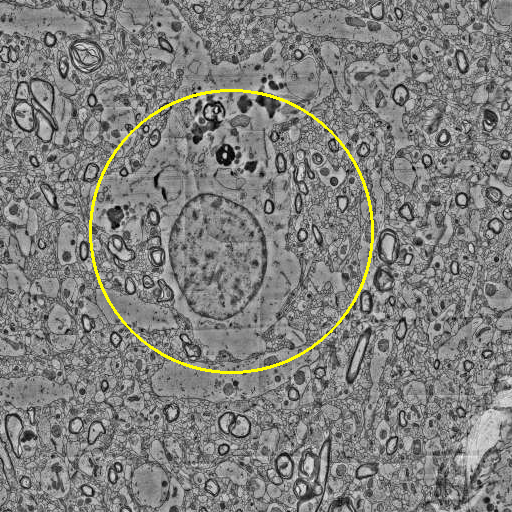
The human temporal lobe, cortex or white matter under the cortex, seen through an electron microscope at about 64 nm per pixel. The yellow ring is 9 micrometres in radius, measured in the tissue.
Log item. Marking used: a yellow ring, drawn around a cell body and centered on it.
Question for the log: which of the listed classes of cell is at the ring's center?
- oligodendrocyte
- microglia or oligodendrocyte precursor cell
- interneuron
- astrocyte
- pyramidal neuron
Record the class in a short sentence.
At the center of the ring lies an astrocyte.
